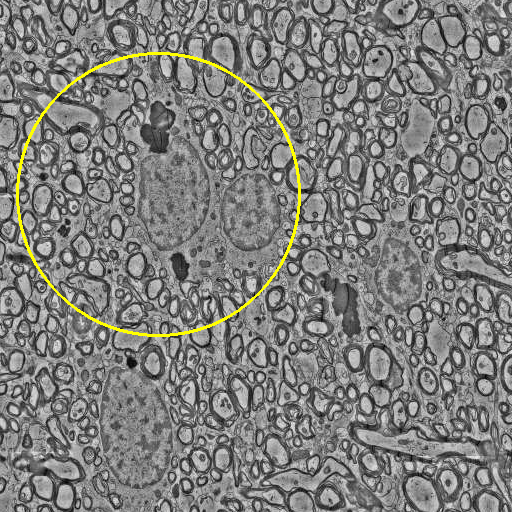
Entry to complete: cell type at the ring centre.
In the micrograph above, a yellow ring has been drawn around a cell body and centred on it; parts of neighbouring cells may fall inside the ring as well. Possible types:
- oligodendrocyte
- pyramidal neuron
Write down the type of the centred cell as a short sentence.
The ring is centred on an oligodendrocyte.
